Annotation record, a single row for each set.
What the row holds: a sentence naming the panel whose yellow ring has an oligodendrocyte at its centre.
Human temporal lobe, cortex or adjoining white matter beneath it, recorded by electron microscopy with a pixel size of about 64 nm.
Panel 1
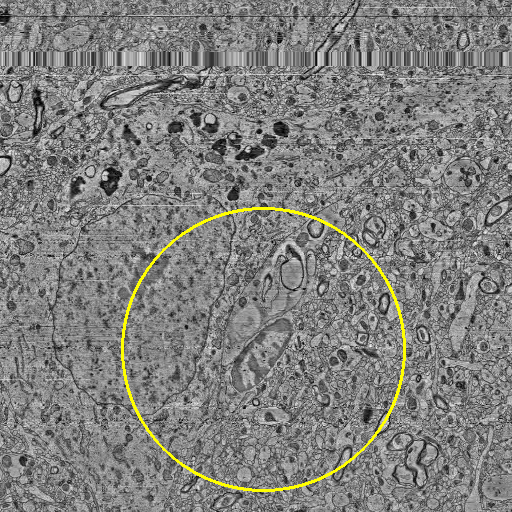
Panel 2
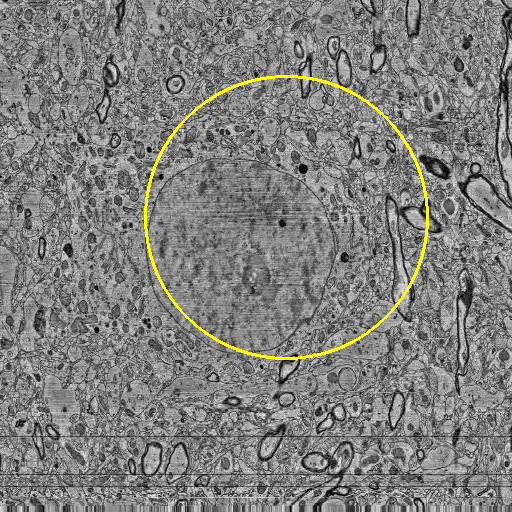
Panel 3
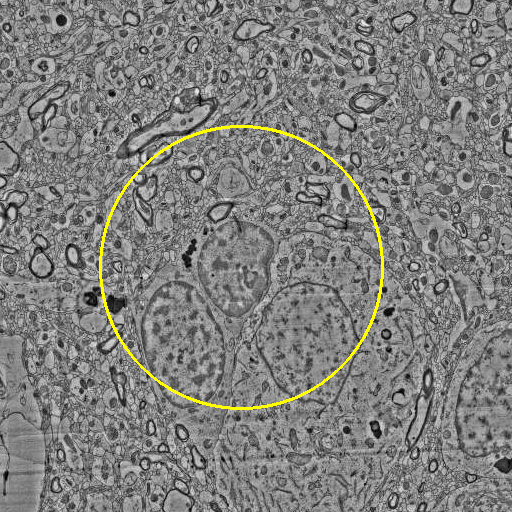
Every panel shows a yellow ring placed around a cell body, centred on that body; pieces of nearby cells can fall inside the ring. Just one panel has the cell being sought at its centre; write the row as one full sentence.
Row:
In panel 3, the cell at the middle of the yellow ring is the one sought.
